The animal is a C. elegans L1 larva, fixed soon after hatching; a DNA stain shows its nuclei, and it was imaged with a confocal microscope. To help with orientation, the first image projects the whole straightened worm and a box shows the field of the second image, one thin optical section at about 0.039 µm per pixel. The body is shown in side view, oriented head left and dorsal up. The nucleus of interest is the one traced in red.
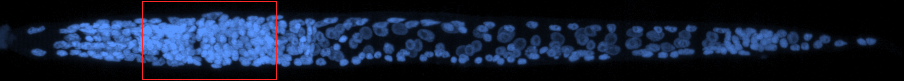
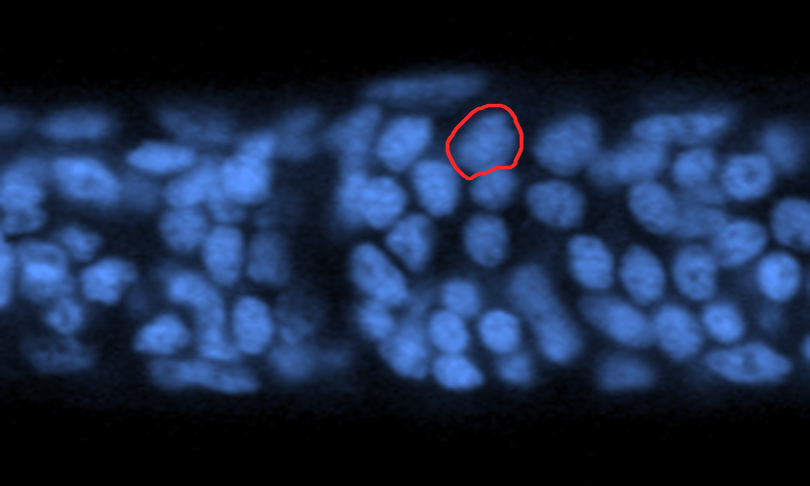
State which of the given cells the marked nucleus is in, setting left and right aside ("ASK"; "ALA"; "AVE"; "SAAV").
ASK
